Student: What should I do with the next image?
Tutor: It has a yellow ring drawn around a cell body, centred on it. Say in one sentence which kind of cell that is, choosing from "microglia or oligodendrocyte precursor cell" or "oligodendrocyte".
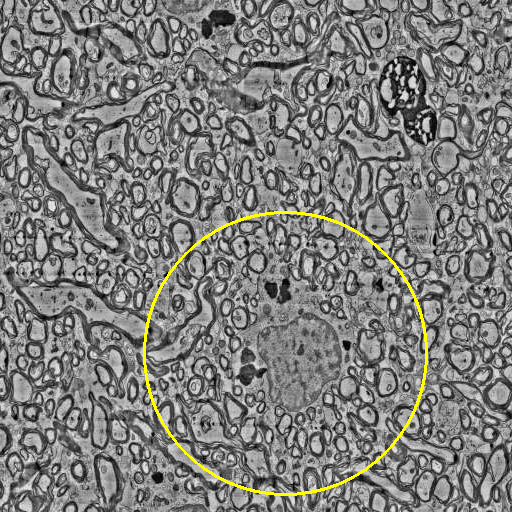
The ring's centre is occupied by an oligodendrocyte.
